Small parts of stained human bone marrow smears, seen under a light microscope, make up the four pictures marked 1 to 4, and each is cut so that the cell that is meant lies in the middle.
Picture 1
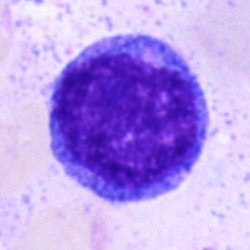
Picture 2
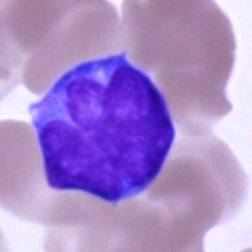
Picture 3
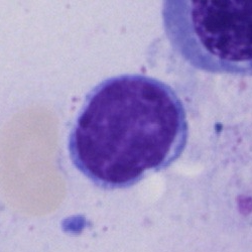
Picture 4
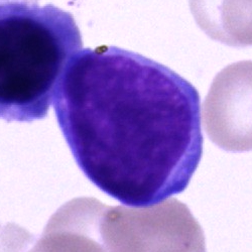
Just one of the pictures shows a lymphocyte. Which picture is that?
3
